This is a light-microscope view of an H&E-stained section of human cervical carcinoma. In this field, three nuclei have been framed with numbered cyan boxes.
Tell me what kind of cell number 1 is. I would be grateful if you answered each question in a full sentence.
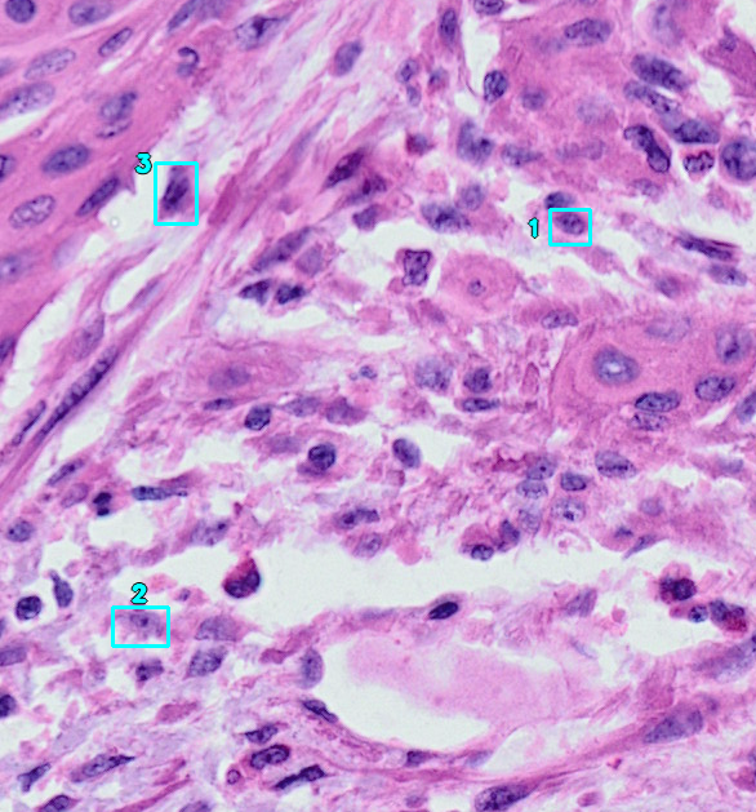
The cell that is numbered 1 is a macrophage or monocyte.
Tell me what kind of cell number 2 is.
The cell identified by the number 2 is a fibroblast.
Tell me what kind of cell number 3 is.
Of the numbered cells, the one labelled 3 is a macrophage or monocyte.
